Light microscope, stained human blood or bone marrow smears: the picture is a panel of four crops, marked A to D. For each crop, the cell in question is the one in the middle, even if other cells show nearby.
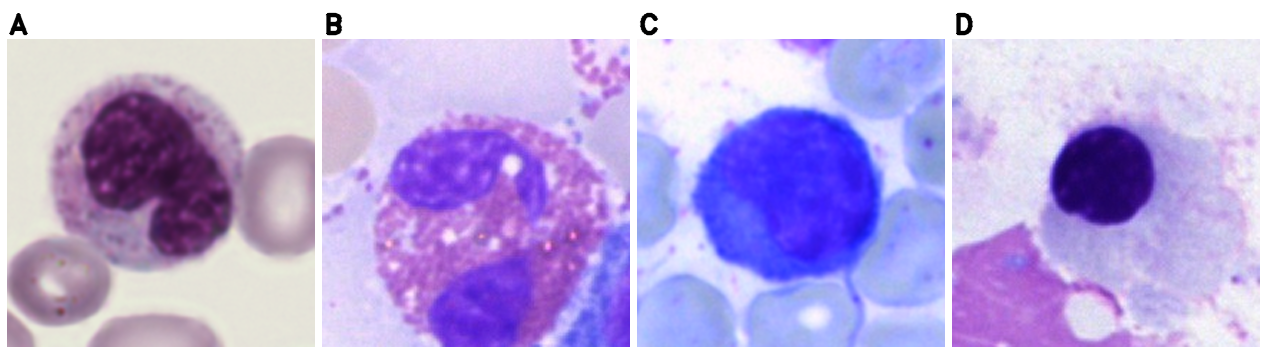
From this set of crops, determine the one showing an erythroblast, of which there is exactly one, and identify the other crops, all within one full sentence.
Centred in crop D is an erythroblast, while crop A is a band neutrophil, crop B is an eosinophil and crop C is a lymphocyte.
